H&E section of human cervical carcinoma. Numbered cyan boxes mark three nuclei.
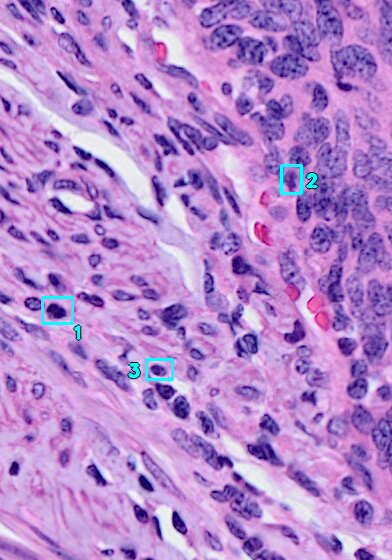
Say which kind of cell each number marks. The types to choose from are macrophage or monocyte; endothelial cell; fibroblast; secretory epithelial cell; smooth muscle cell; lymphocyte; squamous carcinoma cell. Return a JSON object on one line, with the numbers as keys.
{"1": "lymphocyte", "2": "squamous carcinoma cell", "3": "lymphocyte"}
